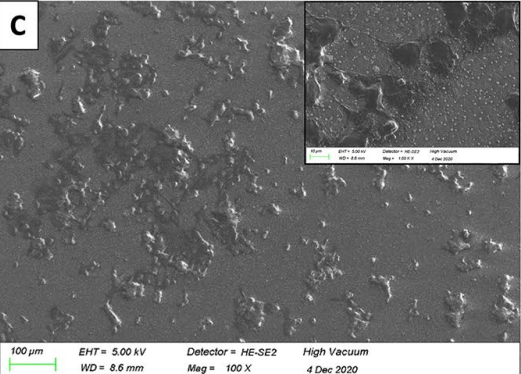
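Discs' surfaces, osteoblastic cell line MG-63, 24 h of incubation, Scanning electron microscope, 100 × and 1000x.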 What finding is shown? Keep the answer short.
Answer: agglomerations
